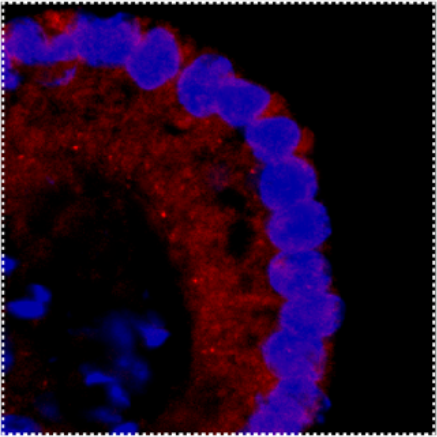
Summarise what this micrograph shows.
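Blue oval nuclei form a single row at the outer side of the epithelium. Red signal spreads diffusely and granularly through the cytoplasm of the cells. No sharp line of red dots marks the apical membrane facing the lumen. The lumen appears dark with a few faint blue fragments.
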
